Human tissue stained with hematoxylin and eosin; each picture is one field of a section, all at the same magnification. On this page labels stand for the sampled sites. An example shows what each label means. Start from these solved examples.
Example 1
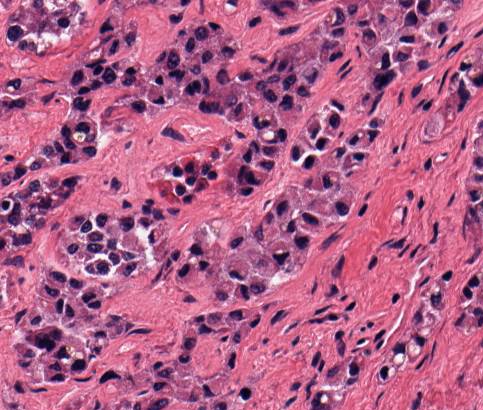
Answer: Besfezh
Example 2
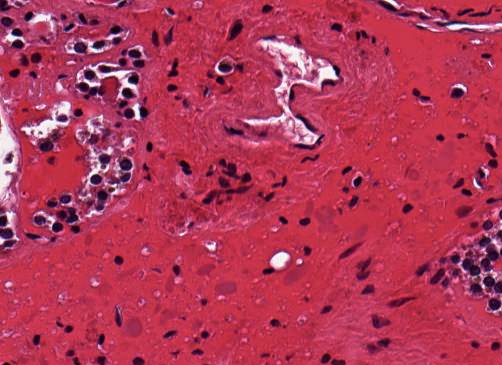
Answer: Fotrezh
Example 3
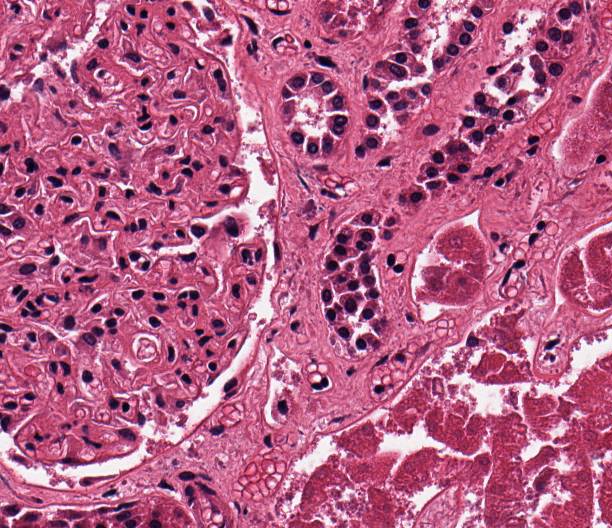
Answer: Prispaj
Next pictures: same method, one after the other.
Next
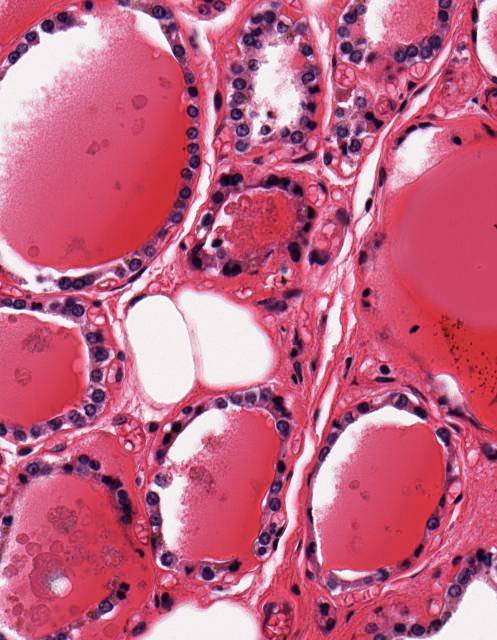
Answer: Fotrezh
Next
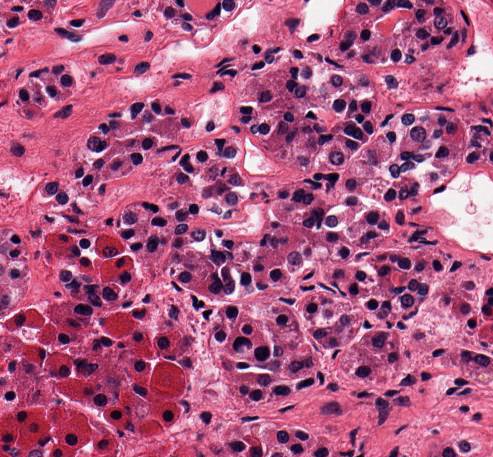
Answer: Besfezh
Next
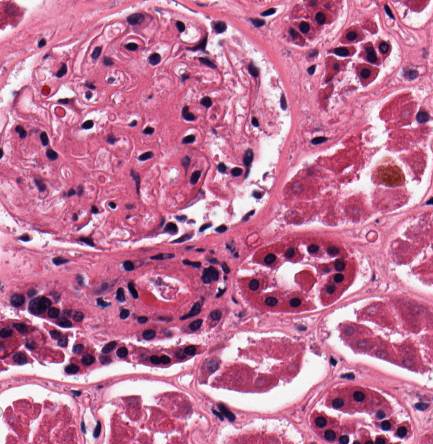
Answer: Prispaj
